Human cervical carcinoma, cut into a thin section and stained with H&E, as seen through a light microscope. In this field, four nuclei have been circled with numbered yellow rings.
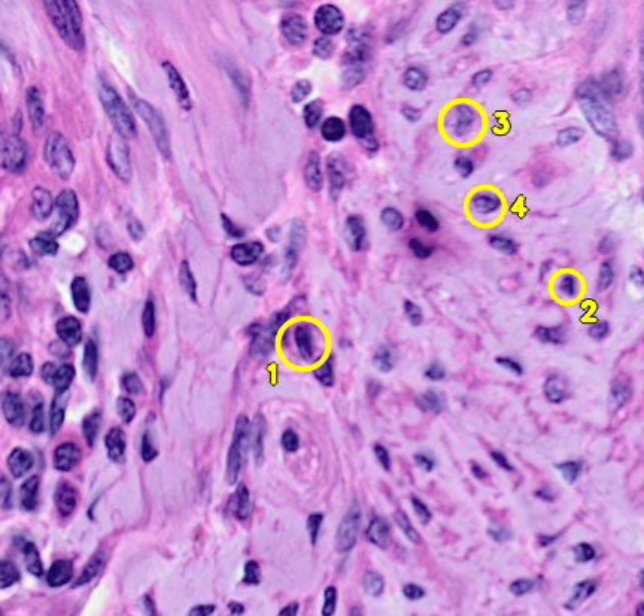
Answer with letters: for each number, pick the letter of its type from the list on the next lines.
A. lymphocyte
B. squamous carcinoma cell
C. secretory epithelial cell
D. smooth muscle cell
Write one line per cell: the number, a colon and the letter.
1: A
2: D
3: D
4: D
